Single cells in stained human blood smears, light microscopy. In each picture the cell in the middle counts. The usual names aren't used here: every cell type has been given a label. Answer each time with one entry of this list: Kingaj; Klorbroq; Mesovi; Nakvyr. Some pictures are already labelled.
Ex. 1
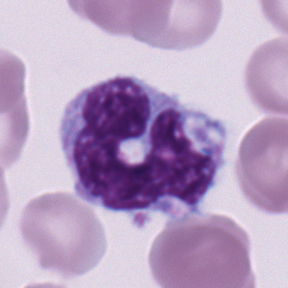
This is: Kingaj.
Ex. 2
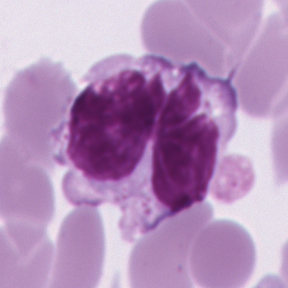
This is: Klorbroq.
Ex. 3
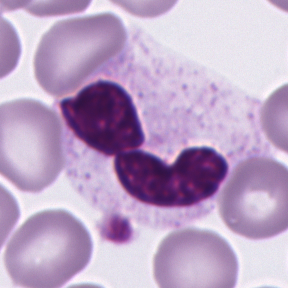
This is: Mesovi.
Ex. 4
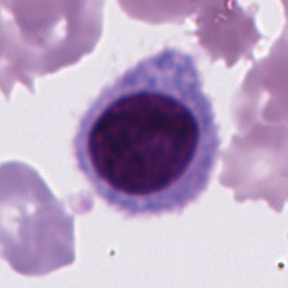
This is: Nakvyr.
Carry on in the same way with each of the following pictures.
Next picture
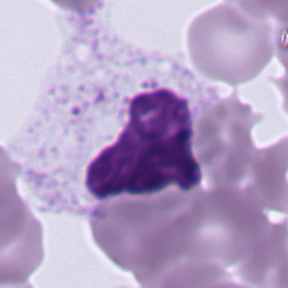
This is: Mesovi.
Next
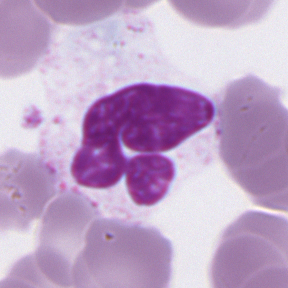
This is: Mesovi.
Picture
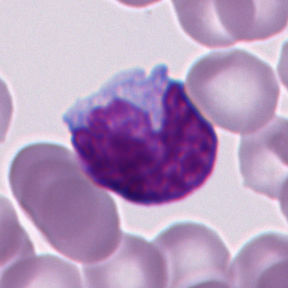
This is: Kingaj.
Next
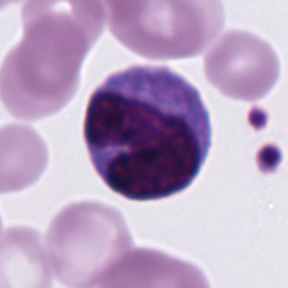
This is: Kingaj.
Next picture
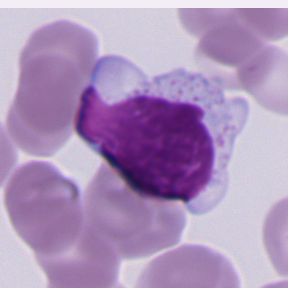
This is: Klorbroq.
